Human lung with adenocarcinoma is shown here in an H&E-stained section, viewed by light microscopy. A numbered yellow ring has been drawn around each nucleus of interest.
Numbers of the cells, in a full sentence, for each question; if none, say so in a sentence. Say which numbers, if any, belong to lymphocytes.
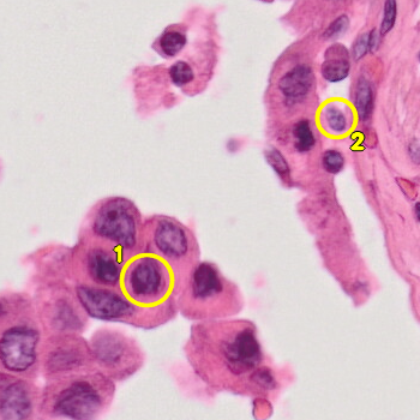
Of the cells carrying numbers, just cell 2 is a lymphocyte.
